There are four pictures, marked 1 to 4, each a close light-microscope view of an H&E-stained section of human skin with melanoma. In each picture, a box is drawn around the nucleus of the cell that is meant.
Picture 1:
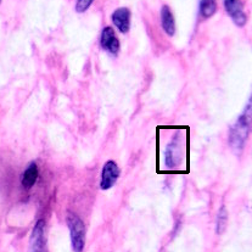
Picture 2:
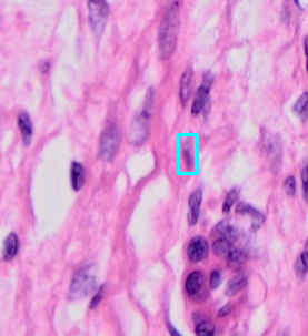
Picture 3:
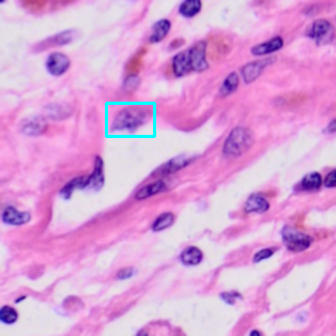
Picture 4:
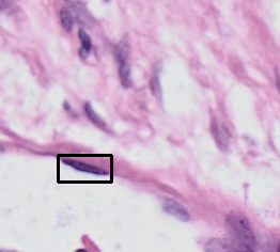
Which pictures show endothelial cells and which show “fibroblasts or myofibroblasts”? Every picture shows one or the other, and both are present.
1: fibroblast or myofibroblast
2: fibroblast or myofibroblast
3: endothelial cell
4: endothelial cell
